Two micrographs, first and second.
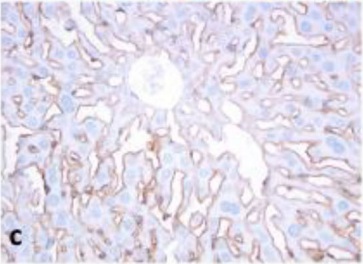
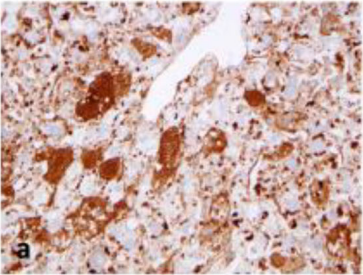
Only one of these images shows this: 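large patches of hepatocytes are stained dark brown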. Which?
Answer: The second image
